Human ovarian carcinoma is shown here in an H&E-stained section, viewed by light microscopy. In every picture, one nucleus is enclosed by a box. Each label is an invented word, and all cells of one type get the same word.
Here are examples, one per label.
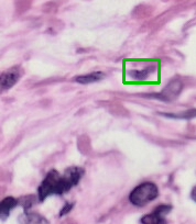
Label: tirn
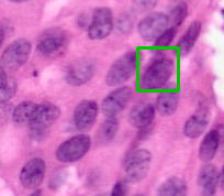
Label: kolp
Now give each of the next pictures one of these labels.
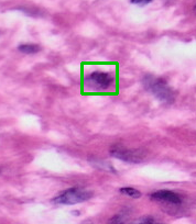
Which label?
tirn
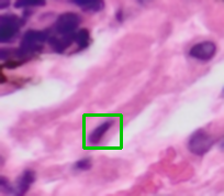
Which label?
tirn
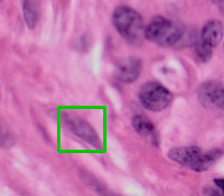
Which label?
tirn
